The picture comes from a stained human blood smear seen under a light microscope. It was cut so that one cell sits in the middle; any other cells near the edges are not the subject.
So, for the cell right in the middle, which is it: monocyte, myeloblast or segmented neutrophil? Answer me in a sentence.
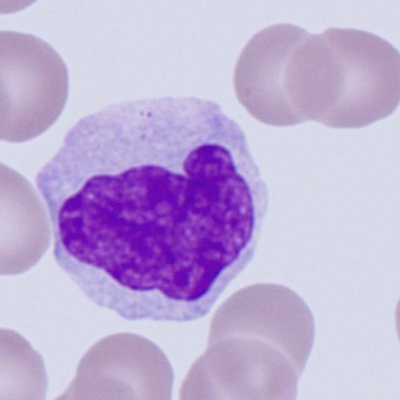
The single cell at the center of the crop is a monocyte.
